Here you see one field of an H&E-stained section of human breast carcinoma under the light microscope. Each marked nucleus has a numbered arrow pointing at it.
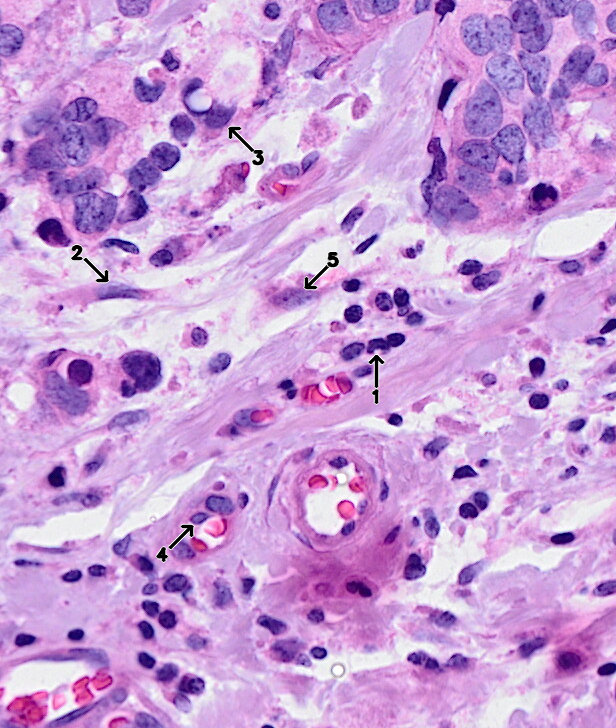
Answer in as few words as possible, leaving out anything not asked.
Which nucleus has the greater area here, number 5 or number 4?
5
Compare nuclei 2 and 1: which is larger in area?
2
